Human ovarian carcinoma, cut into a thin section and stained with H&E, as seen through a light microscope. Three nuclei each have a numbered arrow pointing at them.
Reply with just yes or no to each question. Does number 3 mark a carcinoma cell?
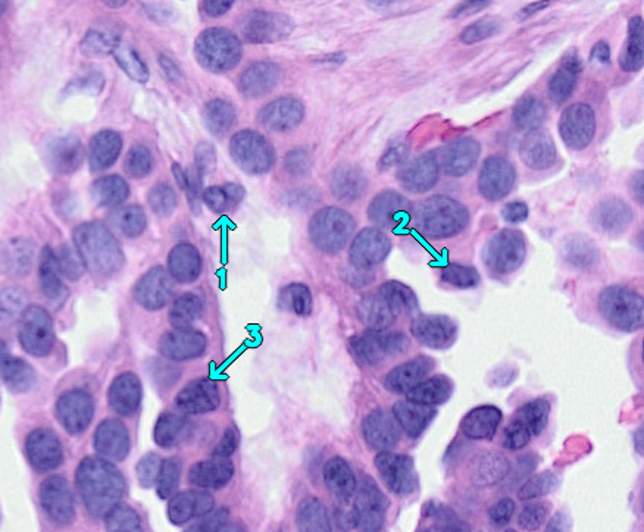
yes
